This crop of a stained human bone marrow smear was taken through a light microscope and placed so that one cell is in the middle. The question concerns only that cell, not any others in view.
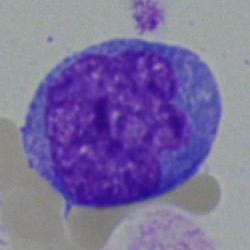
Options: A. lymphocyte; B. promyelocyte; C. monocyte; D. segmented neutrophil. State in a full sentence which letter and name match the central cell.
Seen at the centre of the crop is a monocyte, so option C is correct.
